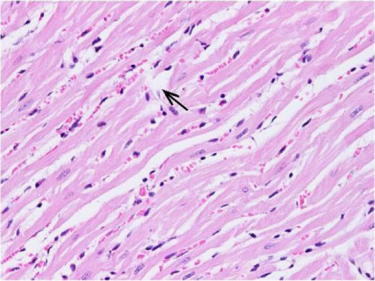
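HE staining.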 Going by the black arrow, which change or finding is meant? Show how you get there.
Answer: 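The arrow points at a gap where a pink muscle fibre is interrupted.
Fractured cardiac muscle fibres.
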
